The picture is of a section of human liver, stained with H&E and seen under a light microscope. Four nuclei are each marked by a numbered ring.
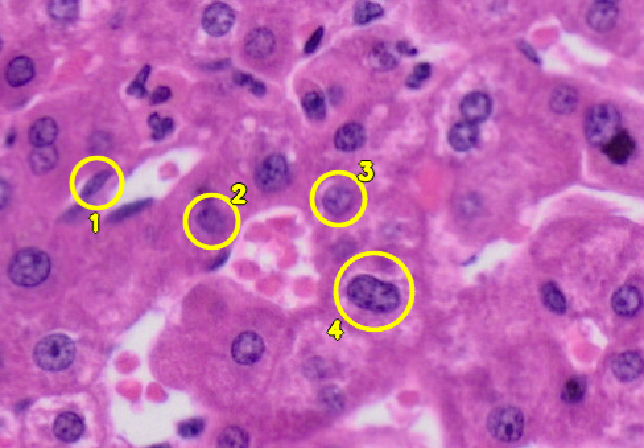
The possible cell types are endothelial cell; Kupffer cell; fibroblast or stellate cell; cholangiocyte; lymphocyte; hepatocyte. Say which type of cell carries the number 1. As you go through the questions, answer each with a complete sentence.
Recognised here as a fibroblast or stellate cell is the cell numbered 1.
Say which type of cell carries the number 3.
The cell given label 3 is a hepatocyte.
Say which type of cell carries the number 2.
Cell 2, as marked in the section, is a hepatocyte.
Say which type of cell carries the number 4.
Among the marked cells, number 4 is a hepatocyte.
